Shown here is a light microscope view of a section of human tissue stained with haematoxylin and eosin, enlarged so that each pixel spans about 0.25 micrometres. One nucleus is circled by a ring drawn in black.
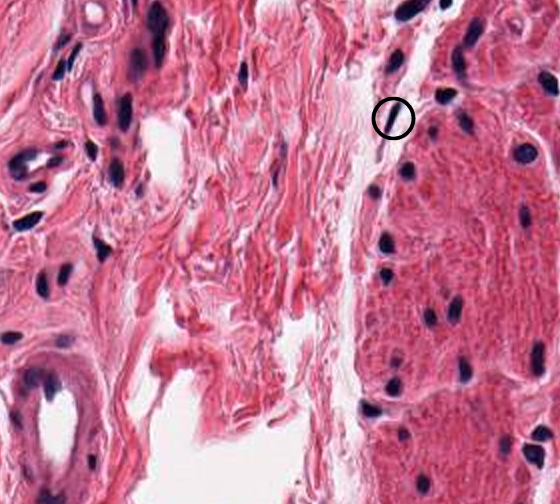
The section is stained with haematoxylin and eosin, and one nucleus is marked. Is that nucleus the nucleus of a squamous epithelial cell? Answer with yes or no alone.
no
